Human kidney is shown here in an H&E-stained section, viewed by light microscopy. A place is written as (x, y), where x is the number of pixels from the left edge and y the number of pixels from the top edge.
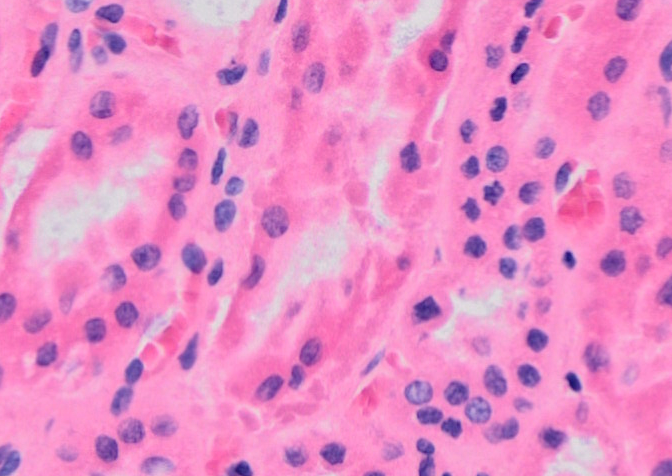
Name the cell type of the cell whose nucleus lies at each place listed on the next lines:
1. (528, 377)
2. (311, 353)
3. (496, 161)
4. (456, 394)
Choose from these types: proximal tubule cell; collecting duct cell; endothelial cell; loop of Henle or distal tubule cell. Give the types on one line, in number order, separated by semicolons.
loop of Henle or distal tubule cell; proximal tubule cell; loop of Henle or distal tubule cell; loop of Henle or distal tubule cell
